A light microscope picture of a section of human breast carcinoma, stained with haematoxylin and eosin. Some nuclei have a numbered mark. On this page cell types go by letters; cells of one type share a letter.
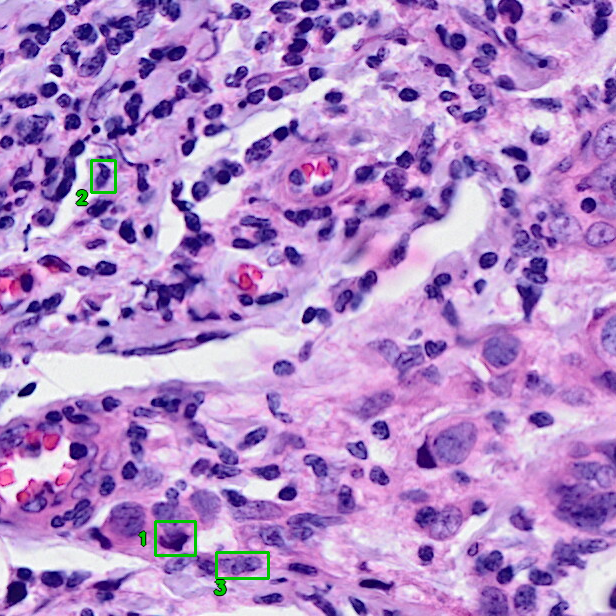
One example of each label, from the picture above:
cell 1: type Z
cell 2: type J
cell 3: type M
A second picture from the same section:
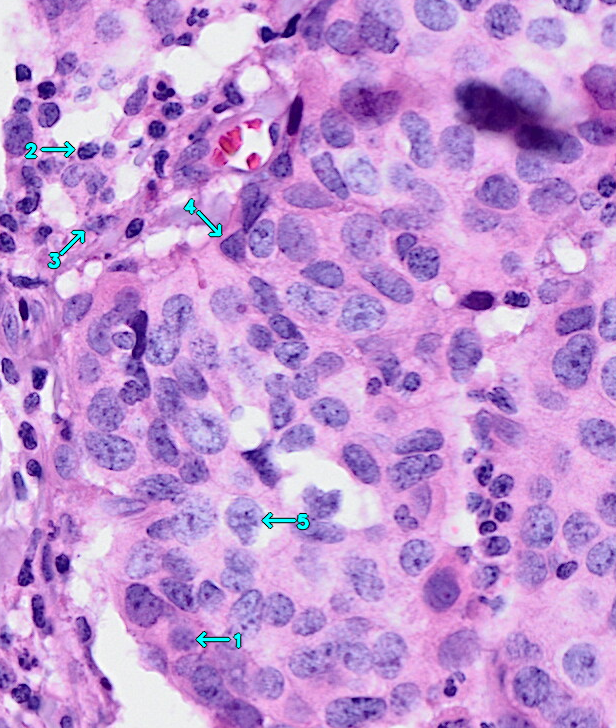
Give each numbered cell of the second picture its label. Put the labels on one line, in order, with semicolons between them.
type Z; type J; type M; type Z; type Z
